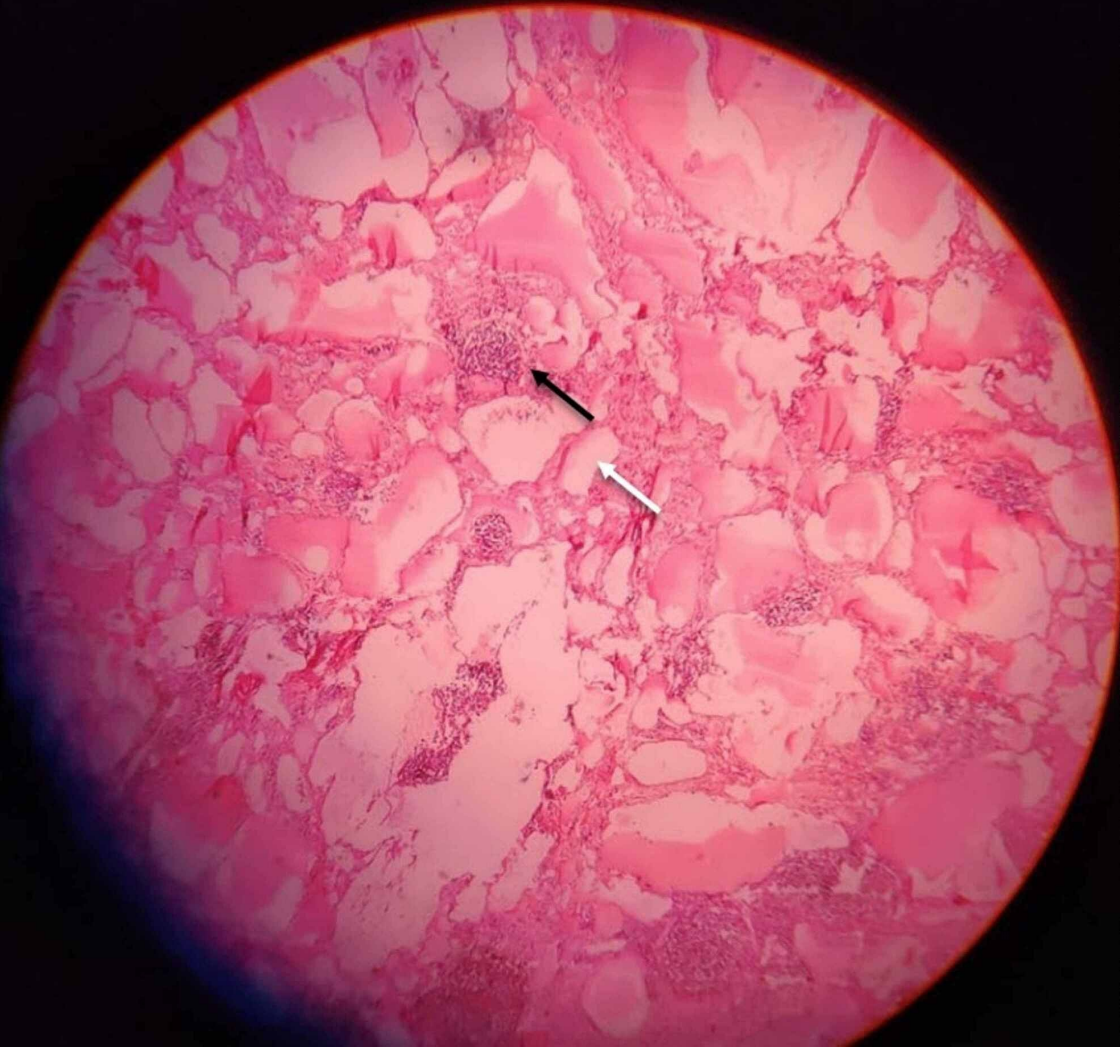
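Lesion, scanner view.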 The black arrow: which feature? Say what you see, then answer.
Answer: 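A rounded cluster of densely packed small dark purple nuclei lies between the spaces. Several similar dark clusters are scattered through the stroma. That points to this answer: lymphoid follicles.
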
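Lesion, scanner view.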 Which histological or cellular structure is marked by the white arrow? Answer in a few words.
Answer: dilated lymphatic channels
